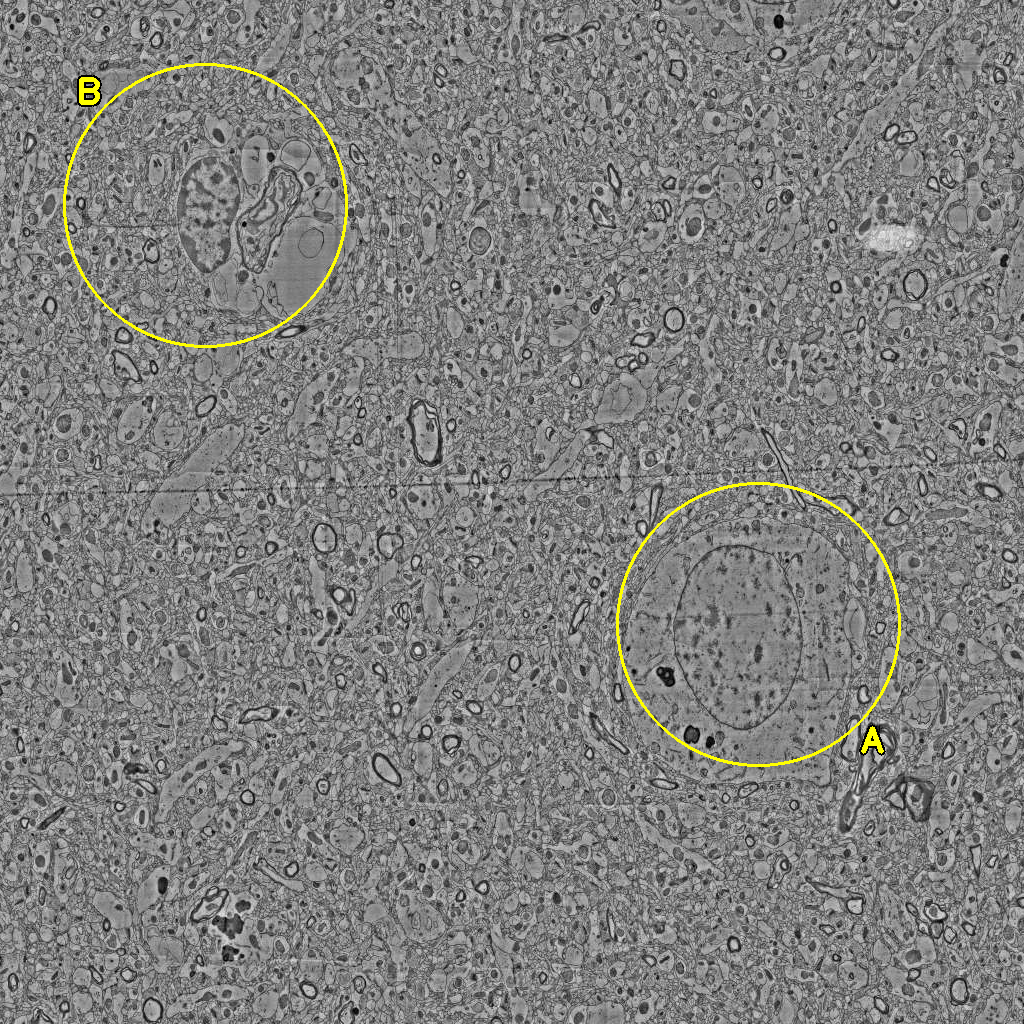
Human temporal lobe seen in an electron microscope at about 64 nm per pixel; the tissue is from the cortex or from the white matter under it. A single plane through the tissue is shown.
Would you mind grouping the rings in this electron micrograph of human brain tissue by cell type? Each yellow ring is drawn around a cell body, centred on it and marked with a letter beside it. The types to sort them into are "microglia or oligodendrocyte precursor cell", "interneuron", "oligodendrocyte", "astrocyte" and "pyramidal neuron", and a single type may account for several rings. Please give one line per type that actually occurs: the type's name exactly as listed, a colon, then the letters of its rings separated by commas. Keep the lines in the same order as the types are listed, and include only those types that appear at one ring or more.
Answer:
microglia or oligodendrocyte precursor cell: B
pyramidal neuron: A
